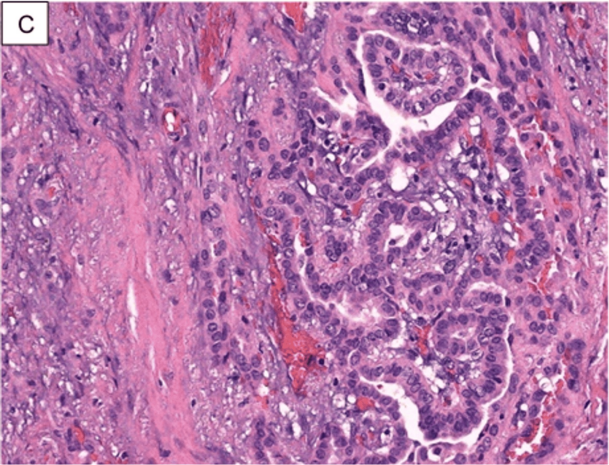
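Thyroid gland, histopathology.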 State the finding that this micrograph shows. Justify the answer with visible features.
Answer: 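Epithelium lines branching papillary fronds. Nuclei are crowded and overlap.
Conclusion: papillary carcinoma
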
